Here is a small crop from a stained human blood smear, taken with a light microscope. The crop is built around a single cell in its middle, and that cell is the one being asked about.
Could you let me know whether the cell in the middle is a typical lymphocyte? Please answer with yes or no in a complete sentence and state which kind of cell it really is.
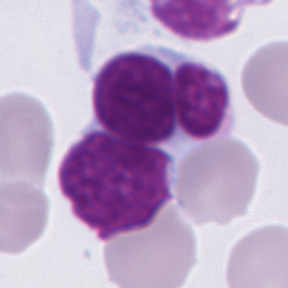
No, the central cell is identified not as a typical lymphocyte but as a myeloblast.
